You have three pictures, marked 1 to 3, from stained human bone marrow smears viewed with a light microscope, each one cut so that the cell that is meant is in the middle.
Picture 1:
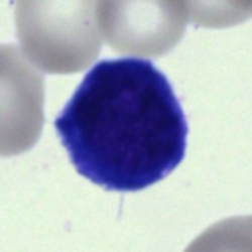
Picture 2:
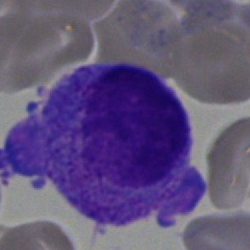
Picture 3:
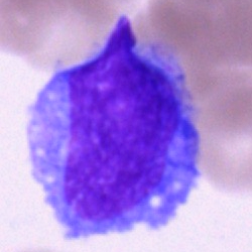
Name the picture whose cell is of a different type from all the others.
1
